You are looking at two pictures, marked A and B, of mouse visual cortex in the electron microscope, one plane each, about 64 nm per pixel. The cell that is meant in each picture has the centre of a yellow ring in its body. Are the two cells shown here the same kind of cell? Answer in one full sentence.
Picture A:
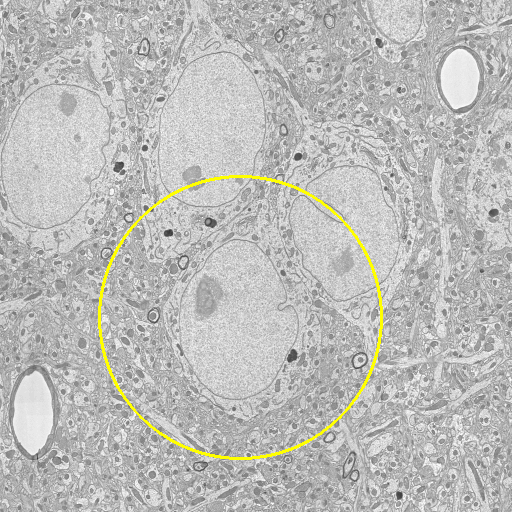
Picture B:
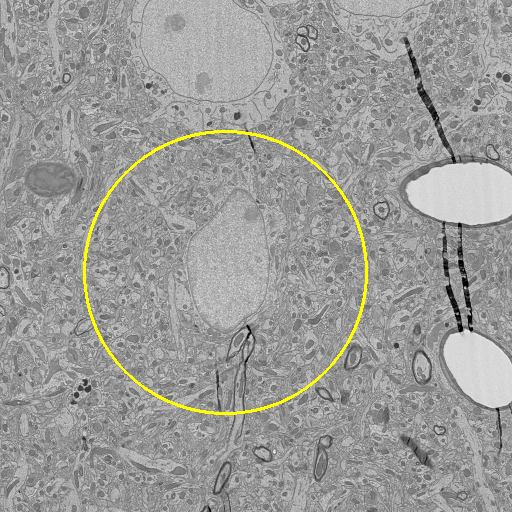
No; the cell in picture A is an excitatory neuron, while the one in picture B is an astrocyte.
